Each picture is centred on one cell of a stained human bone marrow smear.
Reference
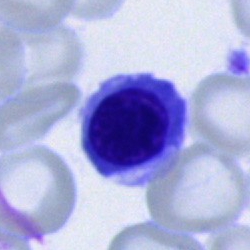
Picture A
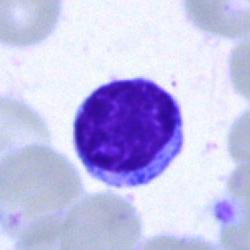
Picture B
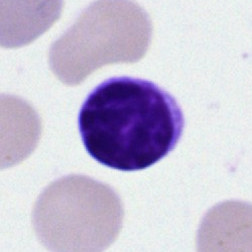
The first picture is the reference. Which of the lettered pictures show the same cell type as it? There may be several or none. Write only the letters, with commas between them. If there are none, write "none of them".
none of them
